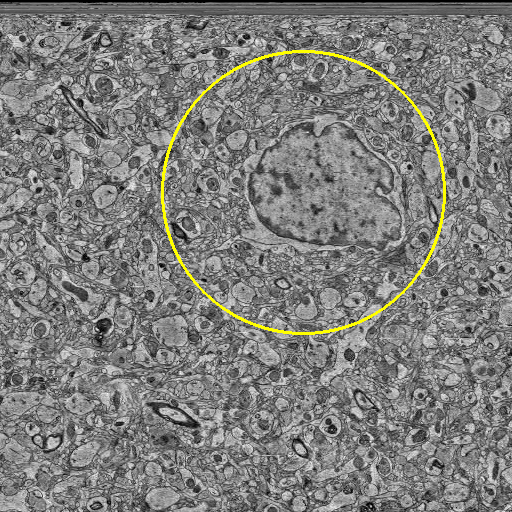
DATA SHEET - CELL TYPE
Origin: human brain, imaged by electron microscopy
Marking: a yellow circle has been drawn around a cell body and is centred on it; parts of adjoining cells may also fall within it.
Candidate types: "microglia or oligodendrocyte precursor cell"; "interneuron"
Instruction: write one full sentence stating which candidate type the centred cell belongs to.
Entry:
The cell body at the centre of the yellow ring in this micrograph belongs to a microglial cell or oligodendrocyte precursor cell.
